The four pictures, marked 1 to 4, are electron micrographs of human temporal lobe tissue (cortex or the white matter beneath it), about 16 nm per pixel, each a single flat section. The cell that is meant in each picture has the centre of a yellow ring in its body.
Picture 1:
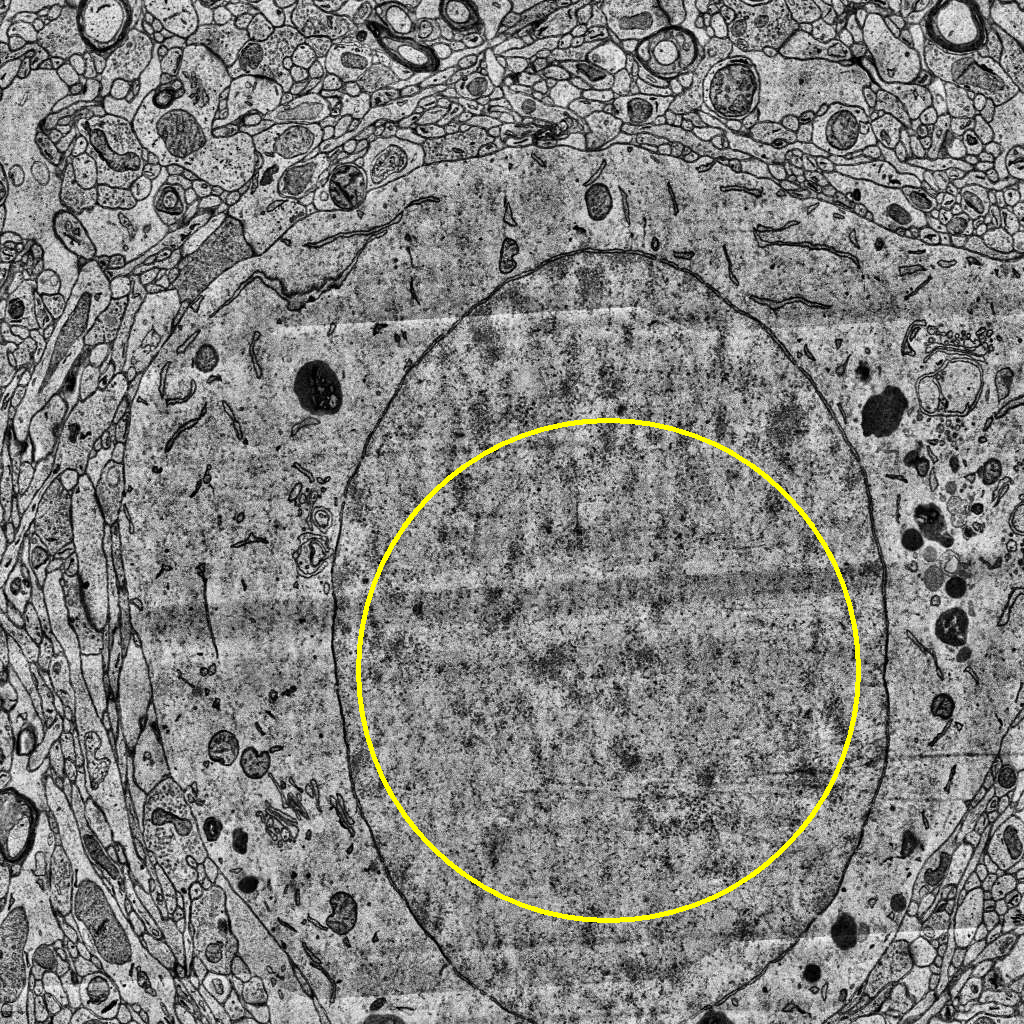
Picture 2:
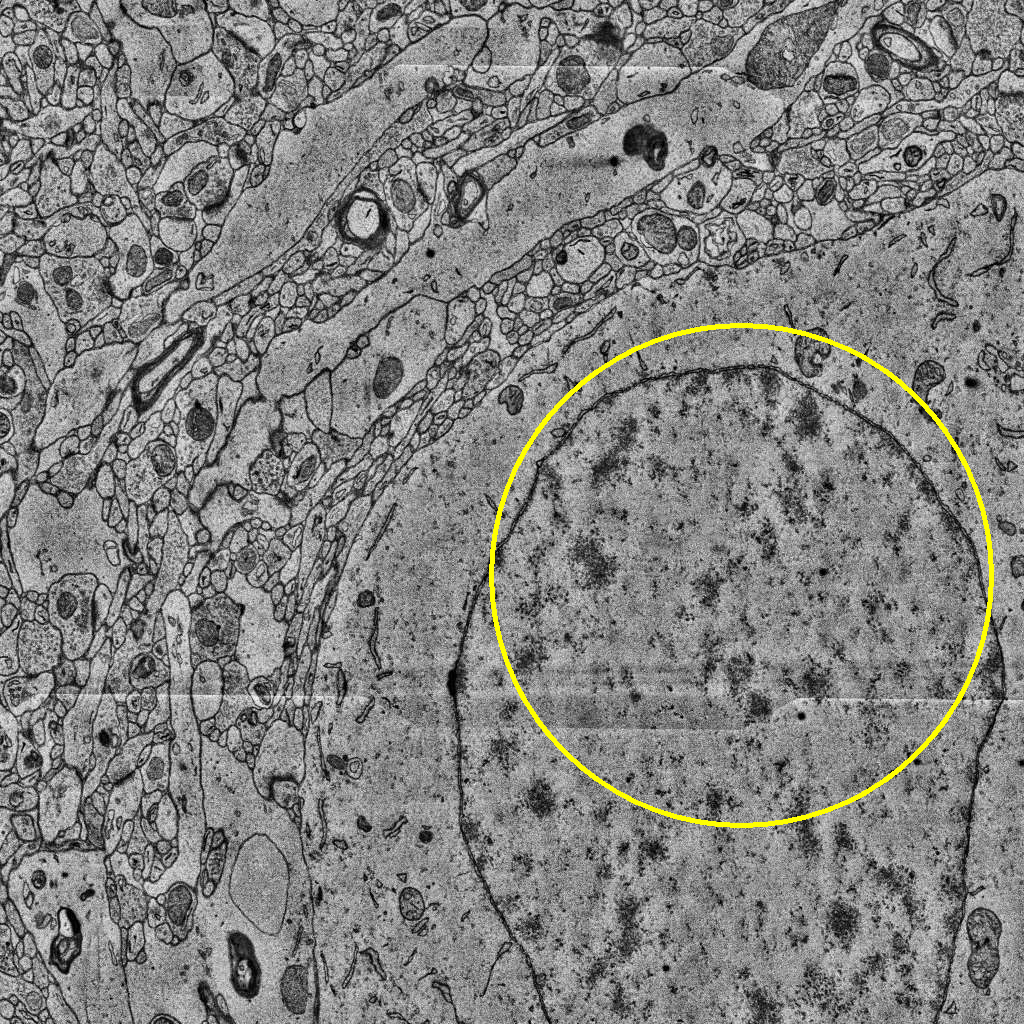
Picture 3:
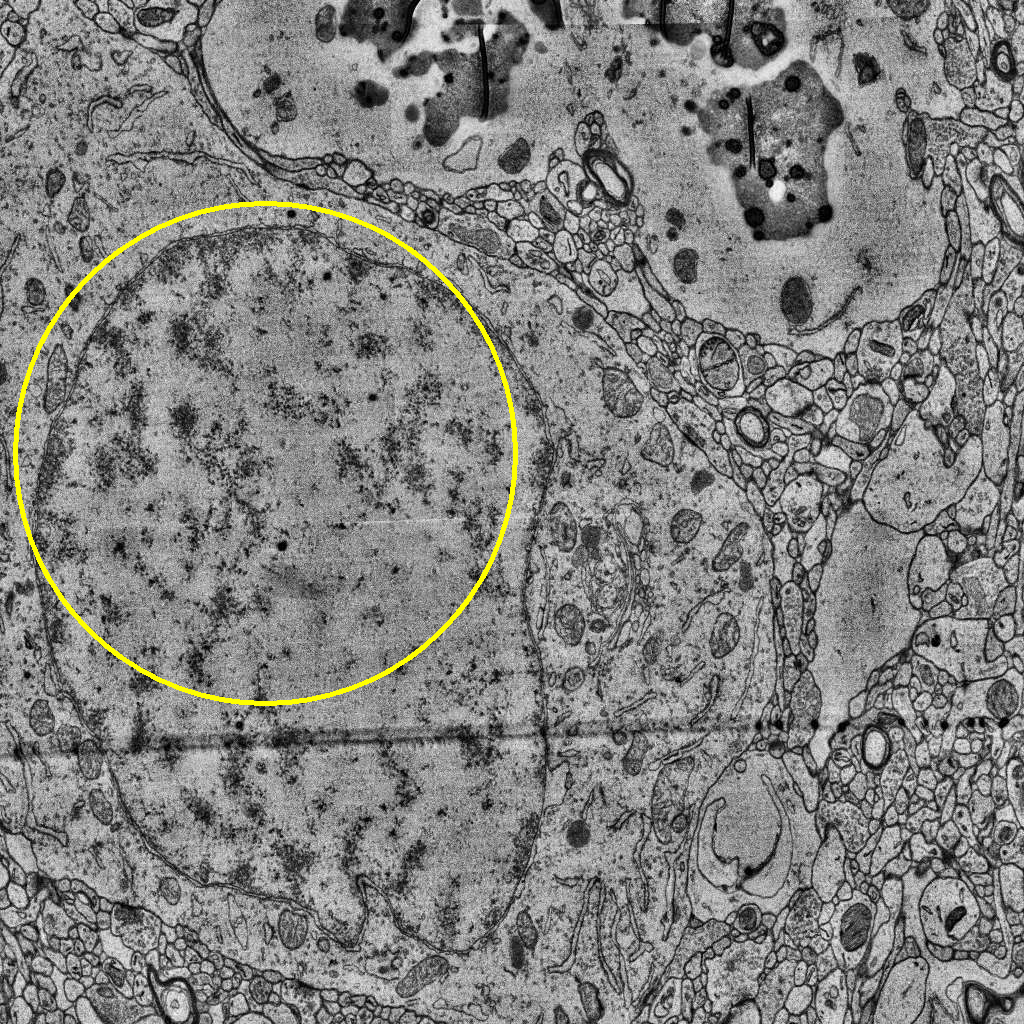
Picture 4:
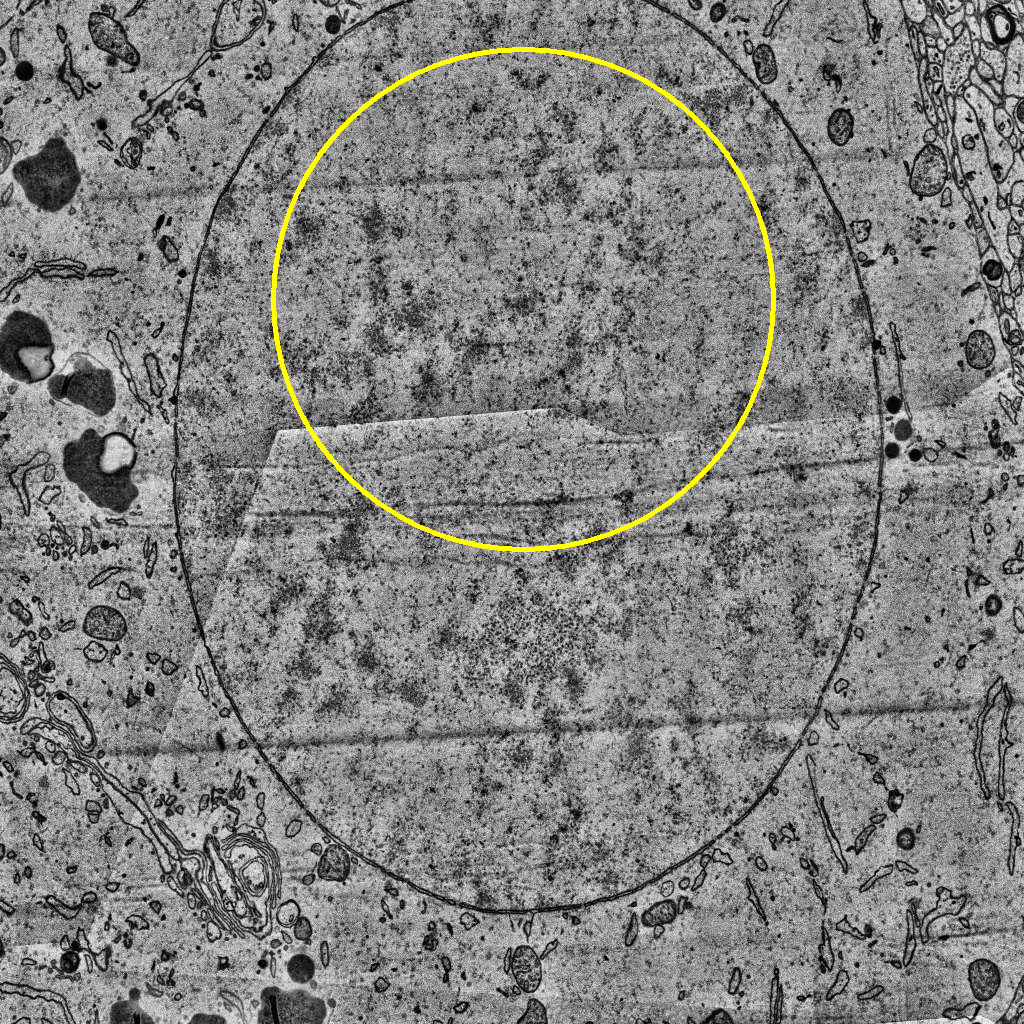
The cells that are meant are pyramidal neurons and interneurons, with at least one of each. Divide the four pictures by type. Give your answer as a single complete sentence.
Pictures 1, 2 and 4 show pyramidal neurons, while picture 3 shows an interneuron.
